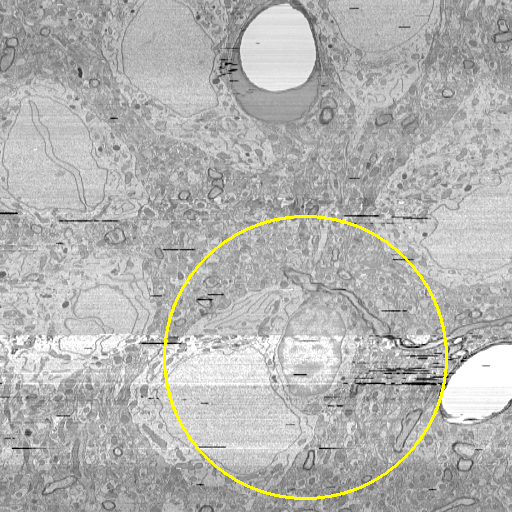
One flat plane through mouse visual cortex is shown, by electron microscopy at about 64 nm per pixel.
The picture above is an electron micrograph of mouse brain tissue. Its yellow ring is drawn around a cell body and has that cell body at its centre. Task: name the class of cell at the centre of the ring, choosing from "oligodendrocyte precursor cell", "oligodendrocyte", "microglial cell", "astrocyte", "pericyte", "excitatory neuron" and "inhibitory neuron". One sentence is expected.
The ring surrounds the body of an oligodendrocyte.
